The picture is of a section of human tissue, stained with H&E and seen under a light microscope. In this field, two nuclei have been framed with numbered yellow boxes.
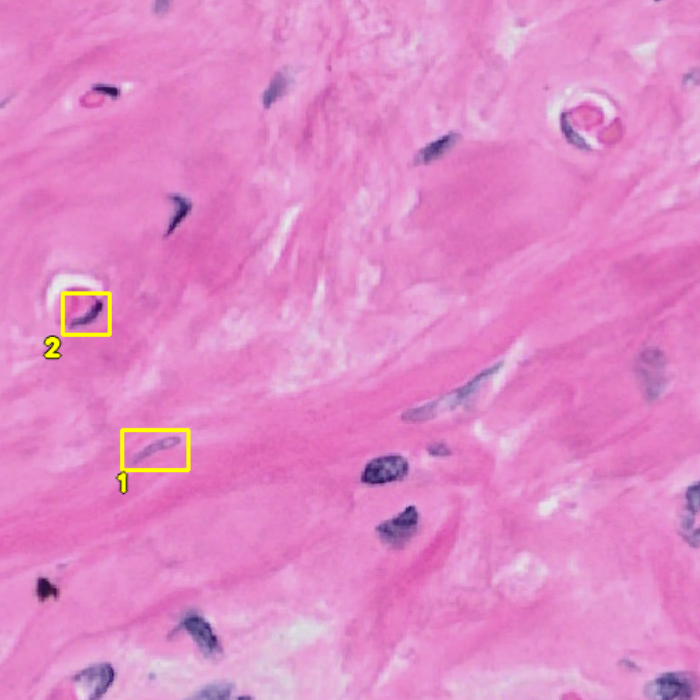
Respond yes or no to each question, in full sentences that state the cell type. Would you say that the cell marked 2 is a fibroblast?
No, the identification of cell 2 as a fibroblast is incorrect; it is an endothelial cell.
